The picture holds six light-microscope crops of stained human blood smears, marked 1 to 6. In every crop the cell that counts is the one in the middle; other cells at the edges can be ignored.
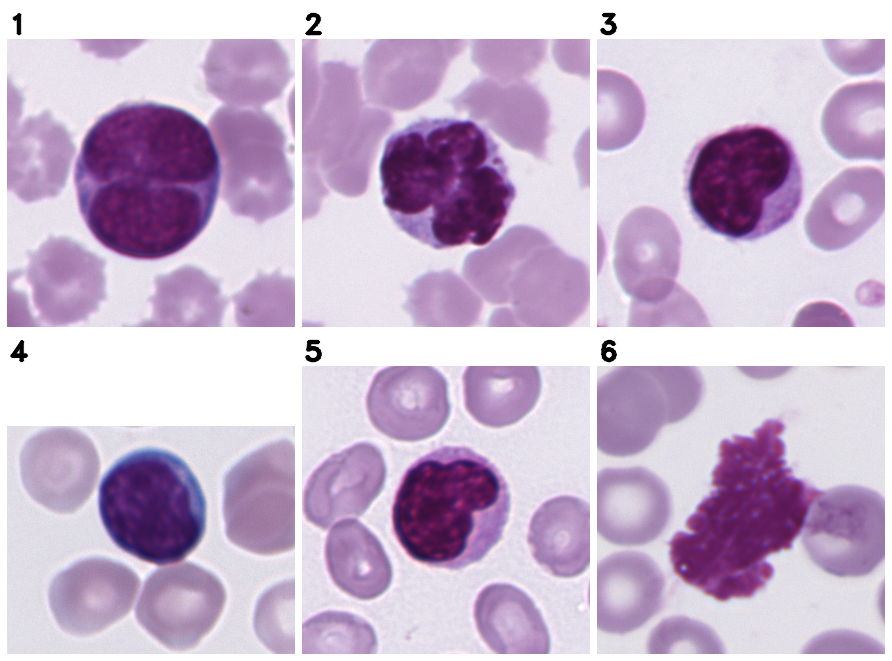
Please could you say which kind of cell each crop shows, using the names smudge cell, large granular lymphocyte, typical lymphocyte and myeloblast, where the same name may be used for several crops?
1: myeloblast
2: typical lymphocyte
3: large granular lymphocyte
4: typical lymphocyte
5: large granular lymphocyte
6: smudge cell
